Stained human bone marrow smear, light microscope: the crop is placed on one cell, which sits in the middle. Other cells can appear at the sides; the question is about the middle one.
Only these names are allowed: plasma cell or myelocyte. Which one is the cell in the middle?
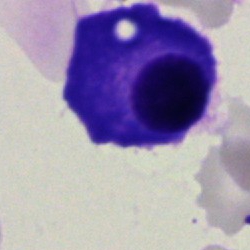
plasma cell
